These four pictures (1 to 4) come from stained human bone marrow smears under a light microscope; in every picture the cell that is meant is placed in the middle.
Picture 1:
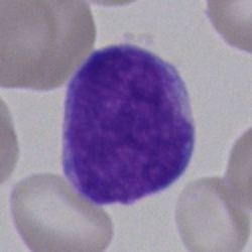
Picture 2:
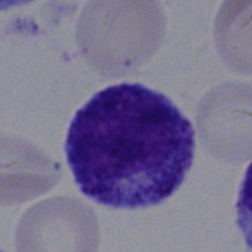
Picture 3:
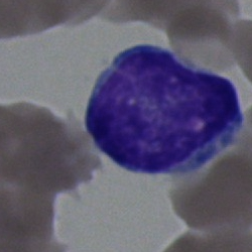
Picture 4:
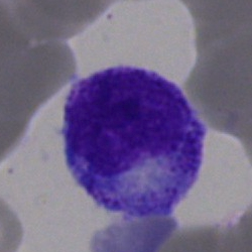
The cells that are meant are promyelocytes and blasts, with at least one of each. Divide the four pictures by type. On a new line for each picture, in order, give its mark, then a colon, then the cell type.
1: blast
2: promyelocyte
3: blast
4: promyelocyte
